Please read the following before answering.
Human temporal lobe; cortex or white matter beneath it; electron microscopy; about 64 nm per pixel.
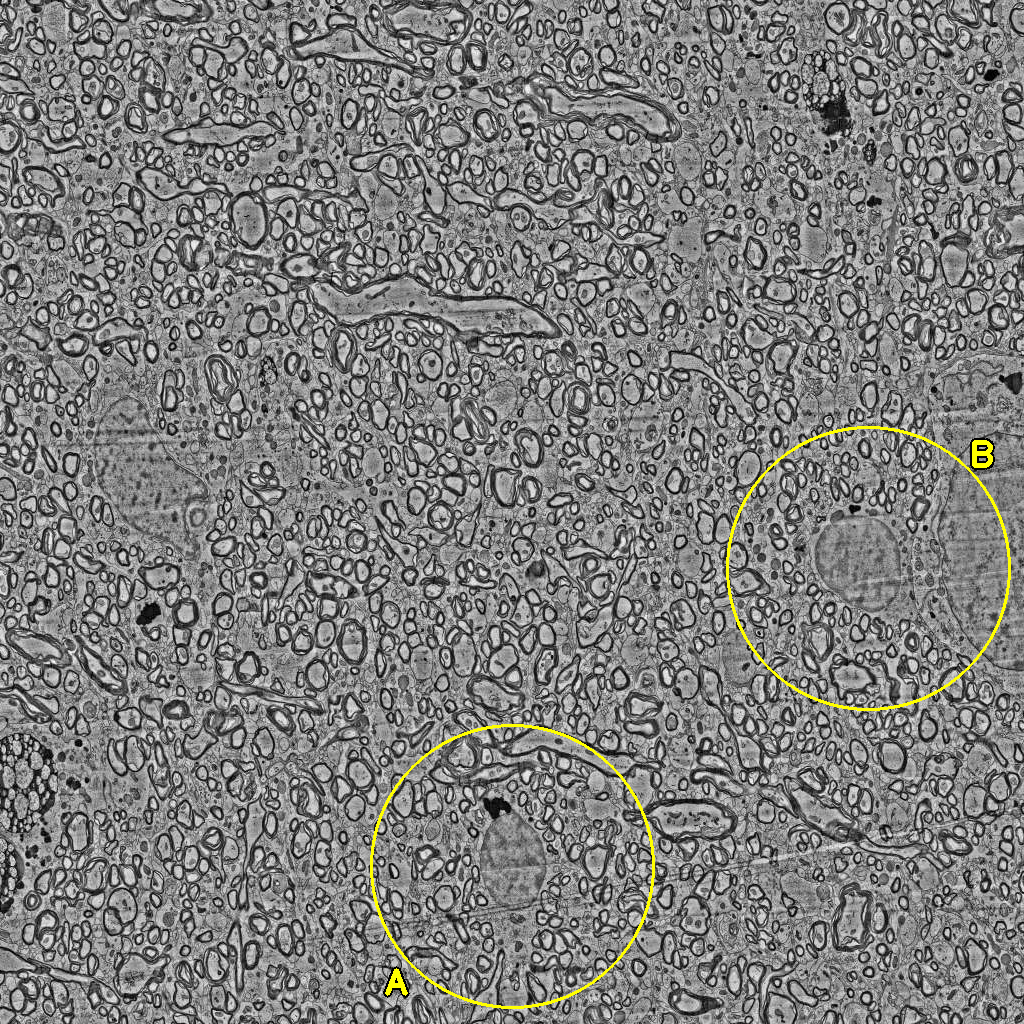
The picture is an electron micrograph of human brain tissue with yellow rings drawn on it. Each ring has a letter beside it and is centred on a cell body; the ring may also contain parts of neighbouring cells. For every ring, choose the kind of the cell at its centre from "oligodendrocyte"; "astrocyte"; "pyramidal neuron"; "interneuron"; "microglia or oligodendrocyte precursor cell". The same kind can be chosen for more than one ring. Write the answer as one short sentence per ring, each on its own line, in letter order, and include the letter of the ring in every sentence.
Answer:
The kind of cell at the centre of ring A is an oligodendrocyte.
The kind of cell at the centre of ring B is an oligodendrocyte.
